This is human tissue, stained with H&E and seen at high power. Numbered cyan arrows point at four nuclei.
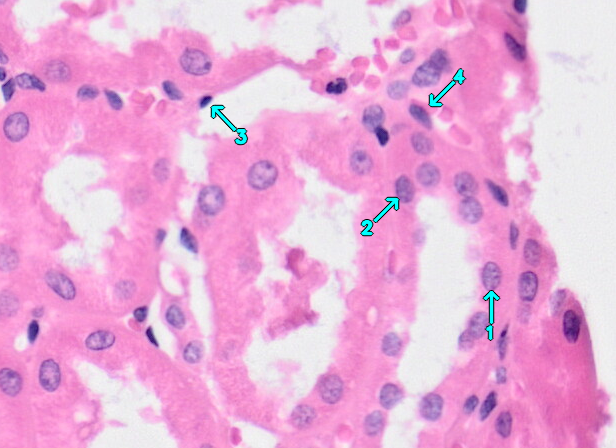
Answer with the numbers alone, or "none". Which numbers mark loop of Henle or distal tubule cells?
1, 2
